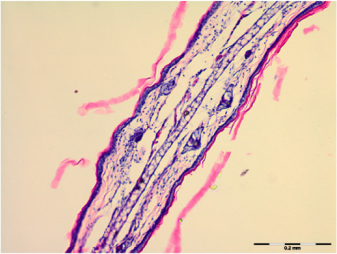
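A thin, elongated ear section with a compact tissue structure running diagonally across the field. A central band of rounded, chambered cells runs along its length, flanked by sparse loose tissue with few scattered nuclei and bounded on both surfaces by thin pink-stained edges.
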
